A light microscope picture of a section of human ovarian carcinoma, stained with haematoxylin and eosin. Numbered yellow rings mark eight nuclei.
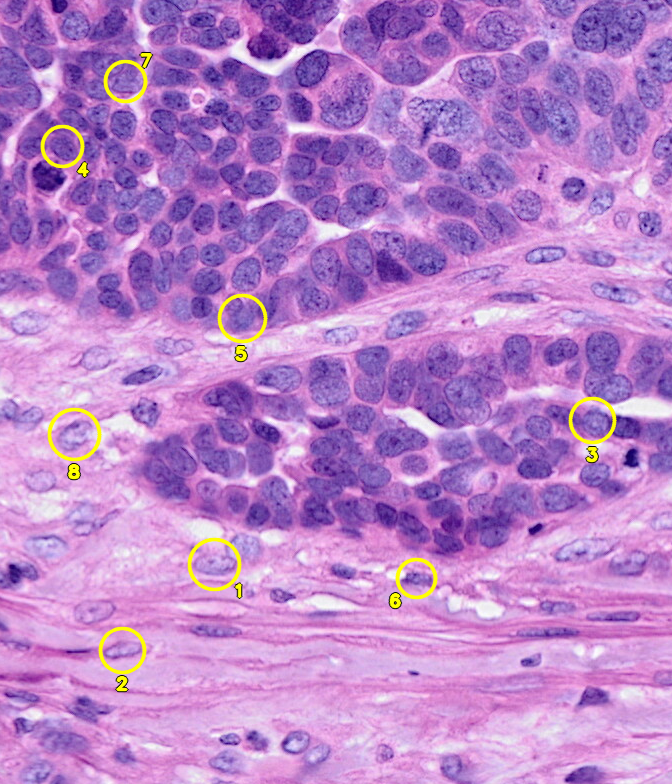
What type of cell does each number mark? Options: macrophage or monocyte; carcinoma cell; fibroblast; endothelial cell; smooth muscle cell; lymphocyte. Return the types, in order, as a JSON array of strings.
["fibroblast", "fibroblast", "carcinoma cell", "carcinoma cell", "carcinoma cell", "fibroblast", "carcinoma cell", "fibroblast"]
